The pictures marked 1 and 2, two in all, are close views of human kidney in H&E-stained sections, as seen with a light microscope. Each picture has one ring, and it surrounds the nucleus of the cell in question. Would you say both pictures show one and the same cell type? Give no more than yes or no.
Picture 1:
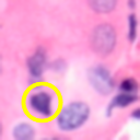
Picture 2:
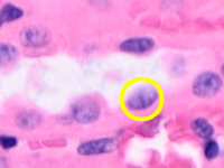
no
